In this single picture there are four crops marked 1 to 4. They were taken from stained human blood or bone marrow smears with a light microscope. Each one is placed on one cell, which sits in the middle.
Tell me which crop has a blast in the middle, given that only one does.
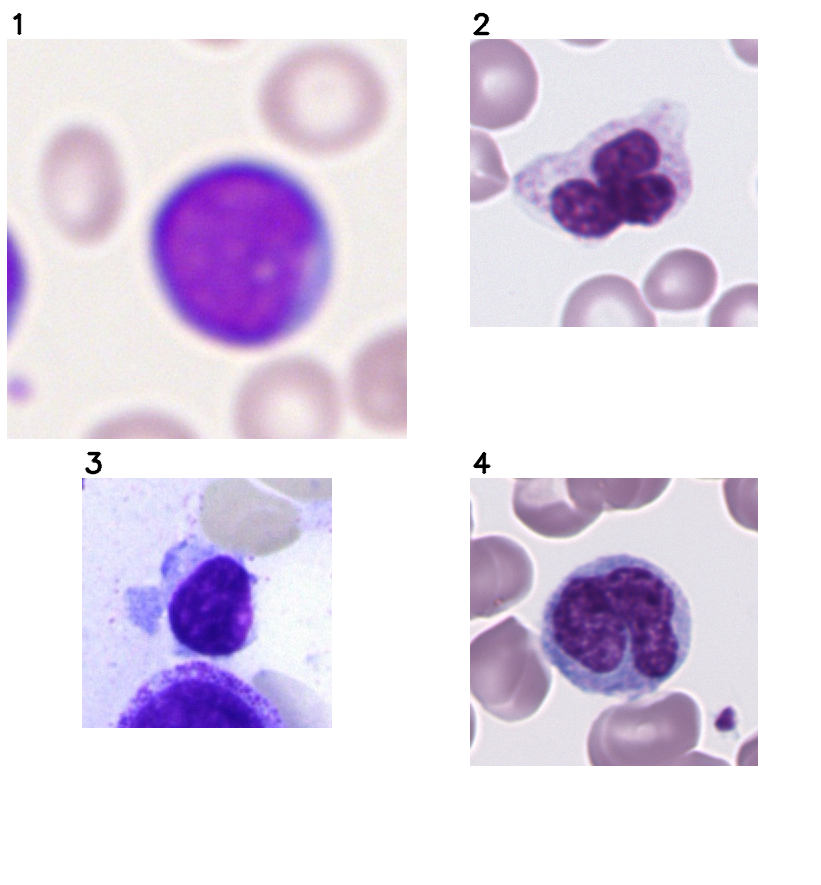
1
